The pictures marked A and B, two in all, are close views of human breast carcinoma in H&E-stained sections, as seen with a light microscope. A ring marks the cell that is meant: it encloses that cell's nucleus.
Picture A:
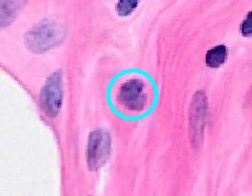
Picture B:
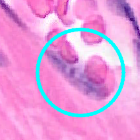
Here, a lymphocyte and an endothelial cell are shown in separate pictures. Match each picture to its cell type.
A: lymphocyte
B: endothelial cell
